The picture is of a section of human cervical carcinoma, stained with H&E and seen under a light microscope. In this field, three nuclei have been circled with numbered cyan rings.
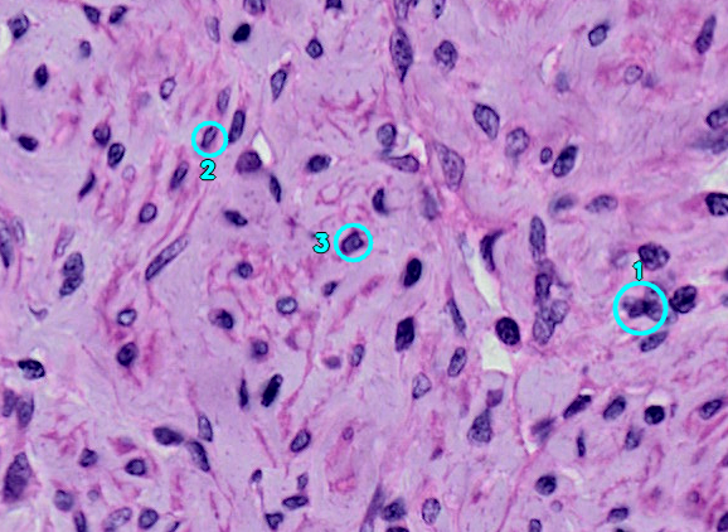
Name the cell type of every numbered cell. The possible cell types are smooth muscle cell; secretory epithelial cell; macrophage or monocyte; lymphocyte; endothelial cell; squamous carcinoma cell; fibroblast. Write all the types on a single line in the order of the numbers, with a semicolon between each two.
lymphocyte; smooth muscle cell; smooth muscle cell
